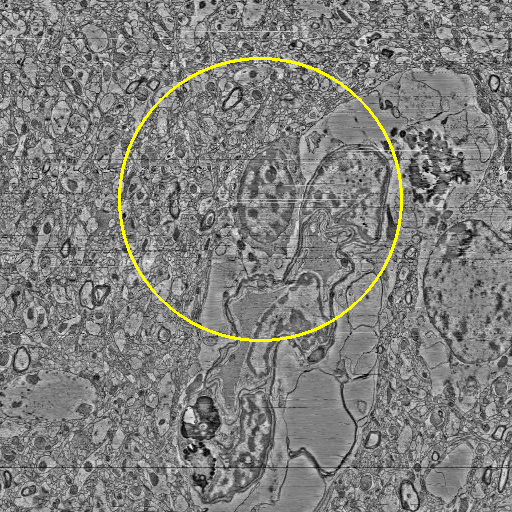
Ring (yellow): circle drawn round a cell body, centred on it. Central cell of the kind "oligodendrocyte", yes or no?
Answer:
yes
